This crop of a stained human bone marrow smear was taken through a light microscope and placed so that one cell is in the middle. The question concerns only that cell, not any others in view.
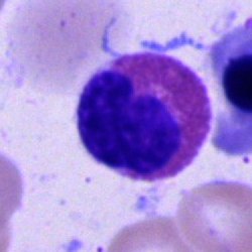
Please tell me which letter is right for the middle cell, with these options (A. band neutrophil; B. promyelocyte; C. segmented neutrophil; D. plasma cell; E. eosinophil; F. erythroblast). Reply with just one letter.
E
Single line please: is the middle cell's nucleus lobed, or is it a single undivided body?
The nucleus holds together as a single compact mass, round, oval or kidney-like.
